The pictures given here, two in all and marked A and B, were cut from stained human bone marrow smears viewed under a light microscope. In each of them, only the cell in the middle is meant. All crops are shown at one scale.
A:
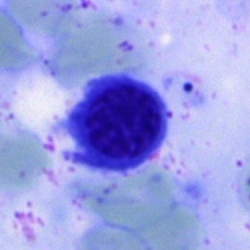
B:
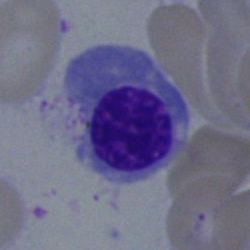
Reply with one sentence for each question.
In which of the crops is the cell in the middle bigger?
The cell in crop B is larger, with about 1.5 times the area of the one in crop A.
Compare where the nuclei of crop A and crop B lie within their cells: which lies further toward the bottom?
It is the nucleus in crop B that lies further toward the bottom of its cell.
